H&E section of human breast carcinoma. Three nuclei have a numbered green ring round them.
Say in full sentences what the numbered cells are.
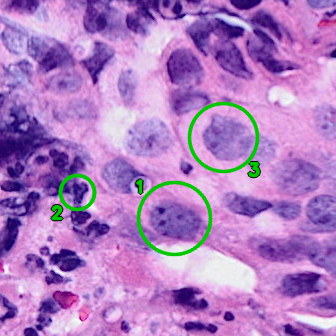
Cells 1 and 3 are carcinoma cells. Cell 2 is a lymphocyte.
